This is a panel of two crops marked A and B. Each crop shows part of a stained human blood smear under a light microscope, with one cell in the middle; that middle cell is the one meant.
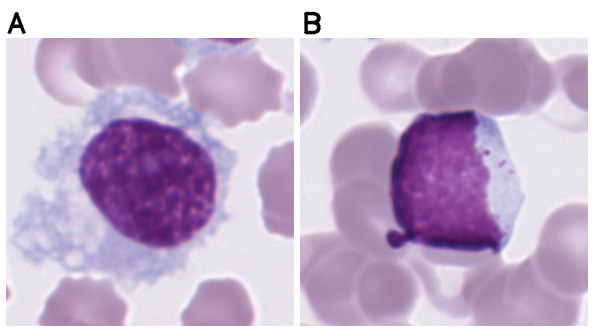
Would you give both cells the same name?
no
